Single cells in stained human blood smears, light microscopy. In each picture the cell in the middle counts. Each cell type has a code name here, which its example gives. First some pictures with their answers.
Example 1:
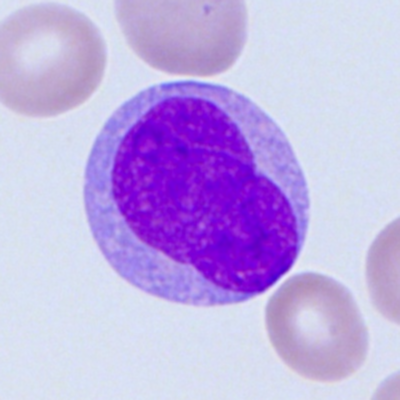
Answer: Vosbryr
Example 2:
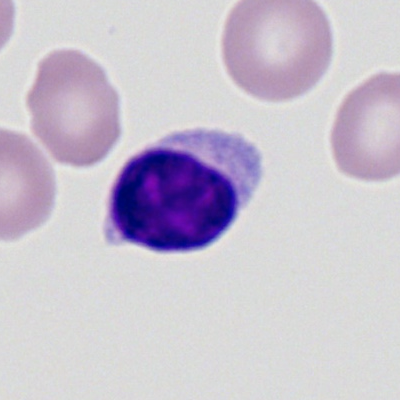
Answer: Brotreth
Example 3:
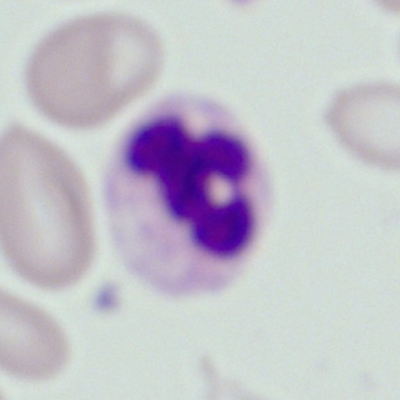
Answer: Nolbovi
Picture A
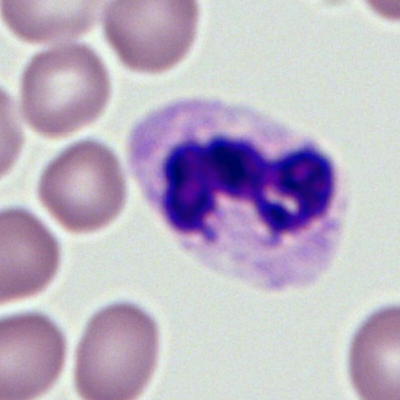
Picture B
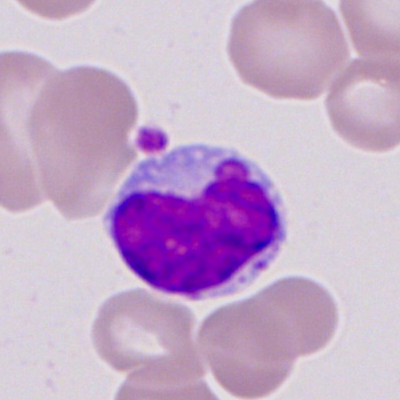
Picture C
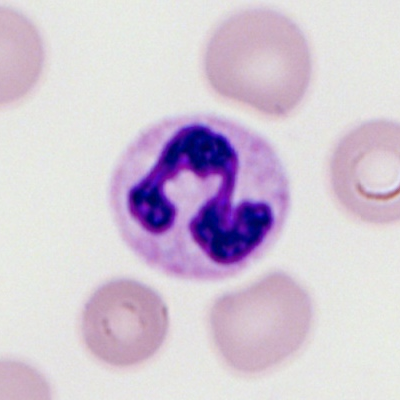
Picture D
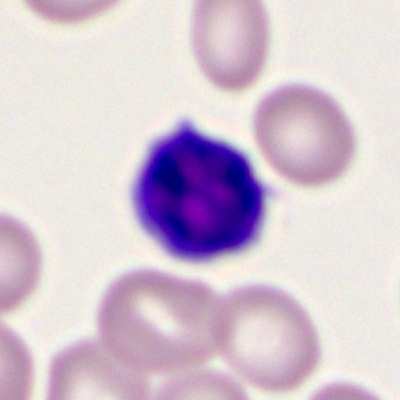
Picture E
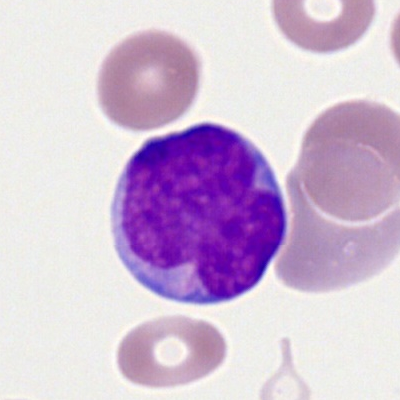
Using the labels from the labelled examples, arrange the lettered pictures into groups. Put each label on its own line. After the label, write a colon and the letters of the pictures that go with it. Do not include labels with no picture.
Vosbryr: E
Brotreth: B, D
Nolbovi: A, C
